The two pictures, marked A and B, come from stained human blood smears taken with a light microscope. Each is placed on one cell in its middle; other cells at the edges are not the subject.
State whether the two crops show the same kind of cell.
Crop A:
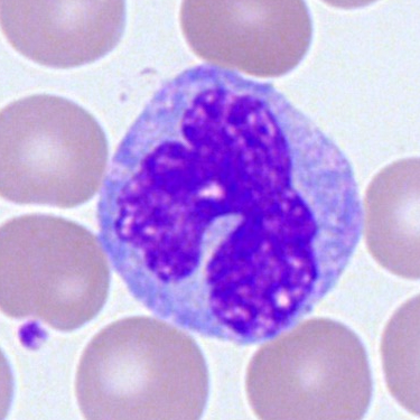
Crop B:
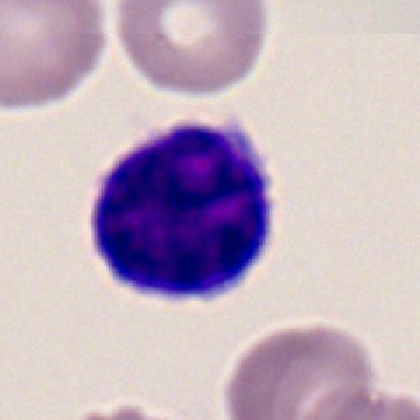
no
